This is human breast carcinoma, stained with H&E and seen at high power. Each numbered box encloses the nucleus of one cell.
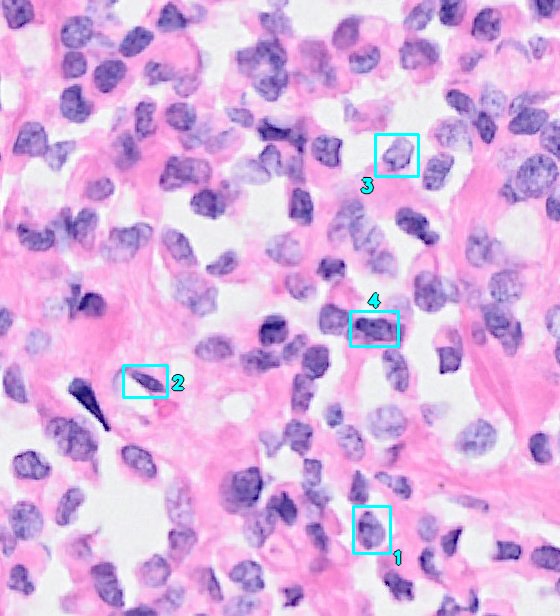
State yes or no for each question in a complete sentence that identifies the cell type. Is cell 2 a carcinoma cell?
No, the nucleus numbered 2 belongs to an endothelial cell, not a carcinoma cell.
